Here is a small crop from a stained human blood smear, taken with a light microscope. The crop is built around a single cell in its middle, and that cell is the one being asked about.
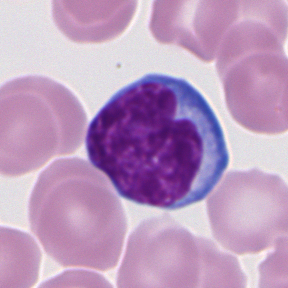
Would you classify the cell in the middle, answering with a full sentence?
Whatever else lies nearby, the middle cell is a typical lymphocyte.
